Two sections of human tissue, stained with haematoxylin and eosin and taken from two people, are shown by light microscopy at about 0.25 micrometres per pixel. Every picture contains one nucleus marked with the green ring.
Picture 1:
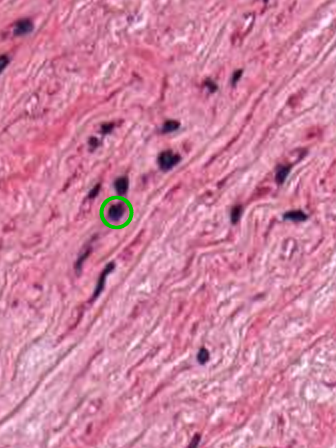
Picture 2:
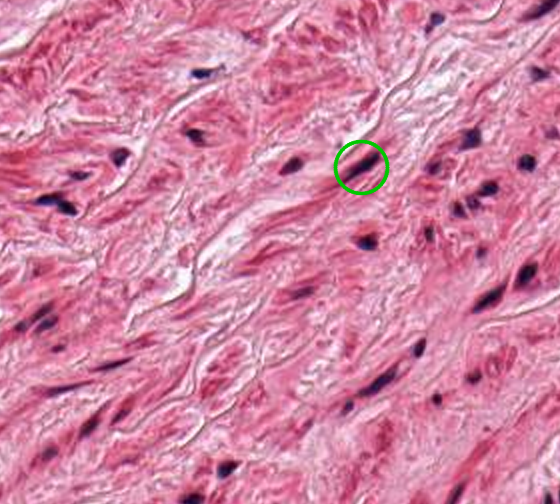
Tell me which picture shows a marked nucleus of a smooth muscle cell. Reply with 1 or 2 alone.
2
